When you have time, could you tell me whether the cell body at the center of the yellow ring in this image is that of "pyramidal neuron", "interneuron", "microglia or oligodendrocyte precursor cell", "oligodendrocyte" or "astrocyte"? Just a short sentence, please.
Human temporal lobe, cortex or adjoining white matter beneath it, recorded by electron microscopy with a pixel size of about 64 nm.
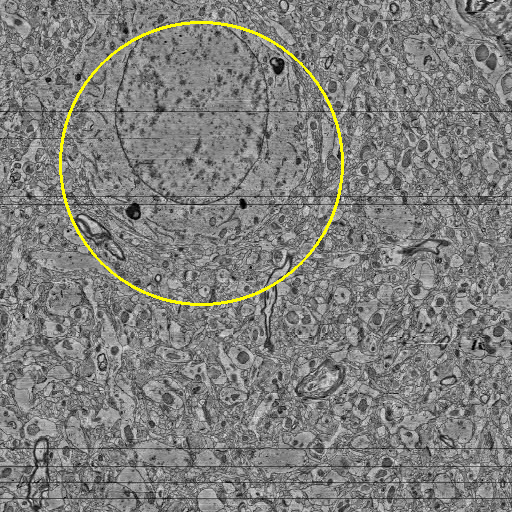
The cell body at the center of the ring is that of a pyramidal neuron.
